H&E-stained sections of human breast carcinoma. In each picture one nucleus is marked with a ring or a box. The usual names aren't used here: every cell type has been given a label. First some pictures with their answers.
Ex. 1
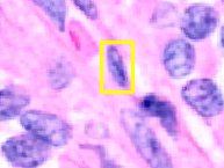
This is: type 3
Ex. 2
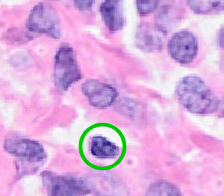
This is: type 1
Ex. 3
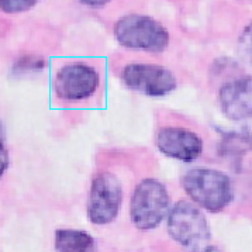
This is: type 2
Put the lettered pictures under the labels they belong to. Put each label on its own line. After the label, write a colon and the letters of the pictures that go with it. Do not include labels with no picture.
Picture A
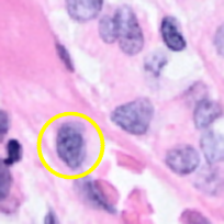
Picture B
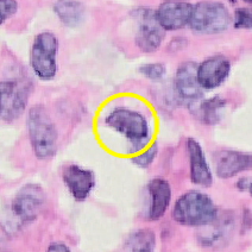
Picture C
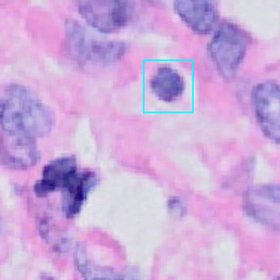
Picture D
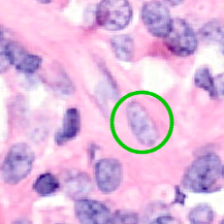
type 3: A, D
type 1: C
type 2: B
